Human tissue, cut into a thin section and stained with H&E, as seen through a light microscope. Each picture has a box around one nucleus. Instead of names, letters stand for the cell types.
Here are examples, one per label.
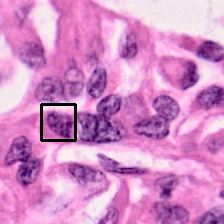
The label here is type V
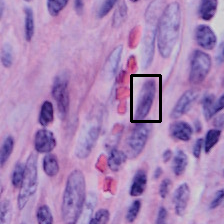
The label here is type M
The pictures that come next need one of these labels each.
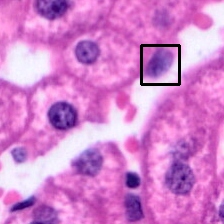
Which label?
type M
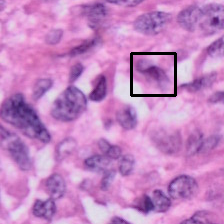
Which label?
type V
